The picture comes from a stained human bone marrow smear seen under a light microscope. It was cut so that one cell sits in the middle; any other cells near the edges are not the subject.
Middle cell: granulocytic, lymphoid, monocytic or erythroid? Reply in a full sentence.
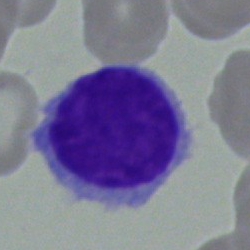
The cell at the crop's center sits within the lymphoid lineage.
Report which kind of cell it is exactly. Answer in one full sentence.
The central cell, amid any neighbouring cells, is a lymphocyte.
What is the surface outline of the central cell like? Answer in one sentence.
The outer contour of the cell is irregular, with ragged portions or projections along it.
